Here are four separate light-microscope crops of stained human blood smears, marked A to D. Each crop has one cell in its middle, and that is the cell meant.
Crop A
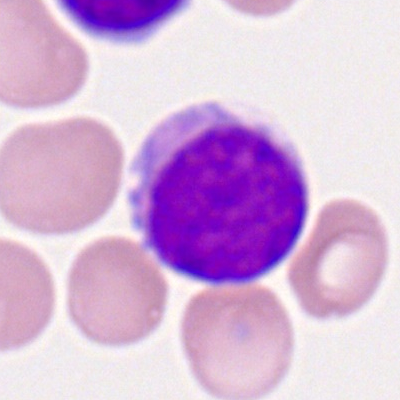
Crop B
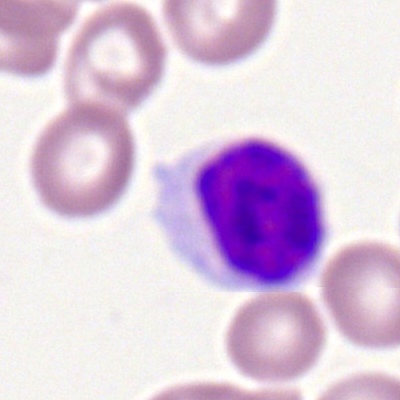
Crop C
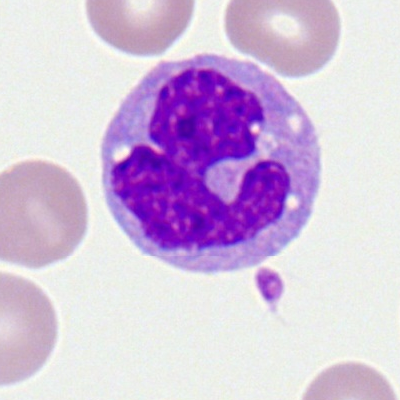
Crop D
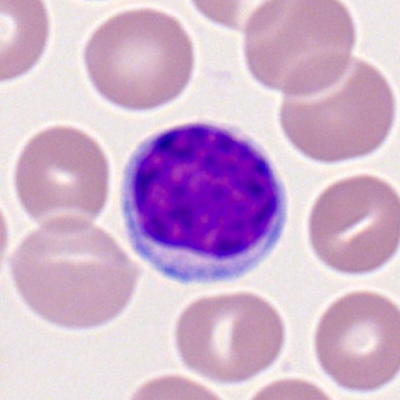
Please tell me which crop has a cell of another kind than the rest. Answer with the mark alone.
C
